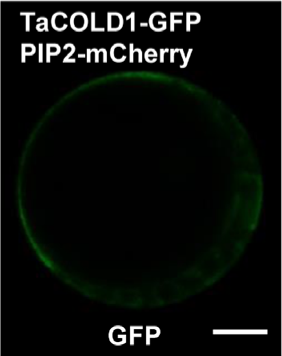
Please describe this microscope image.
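Here we see a single round protoplast whose green fluorescence outlines its boundary, the plasma membrane. The green forms a thin, continuous ring at the very edge of the cell. The inside of the cell stays dark, with no strands or meshwork like those of an internal membrane network.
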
